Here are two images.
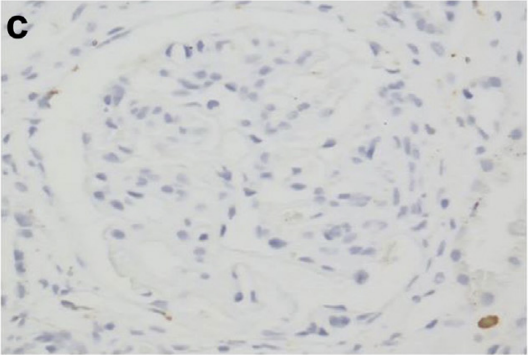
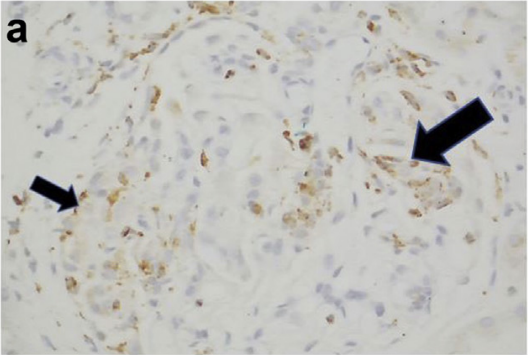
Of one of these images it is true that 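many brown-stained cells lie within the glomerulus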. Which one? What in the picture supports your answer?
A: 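The second image. First image: the glomerulus shows only blue nuclei with almost no brown stain. Second image: numerous brown-stained cells are scattered through the glomerular tuft.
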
